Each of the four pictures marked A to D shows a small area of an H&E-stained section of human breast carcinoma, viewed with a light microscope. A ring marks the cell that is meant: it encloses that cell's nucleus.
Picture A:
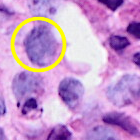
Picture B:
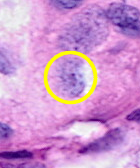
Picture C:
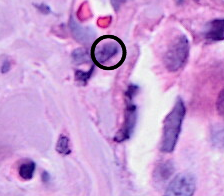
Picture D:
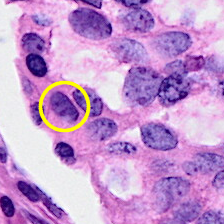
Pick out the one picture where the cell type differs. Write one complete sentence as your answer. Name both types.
Unlike the rest, which show carcinoma cells, picture C shows an endothelial cell.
